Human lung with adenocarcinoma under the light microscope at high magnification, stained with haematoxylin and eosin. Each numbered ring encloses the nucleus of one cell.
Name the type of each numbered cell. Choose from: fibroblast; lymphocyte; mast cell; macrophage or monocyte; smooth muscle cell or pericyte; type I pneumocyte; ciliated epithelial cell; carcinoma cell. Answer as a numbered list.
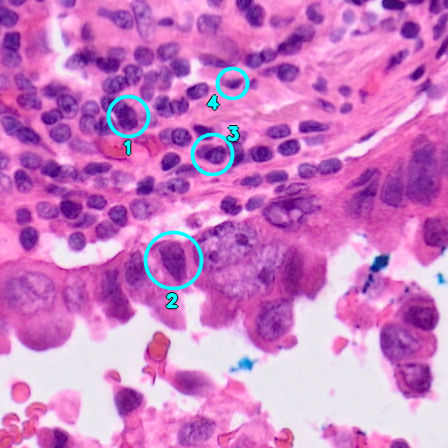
1. lymphocyte
2. carcinoma cell
3. lymphocyte
4. lymphocyte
